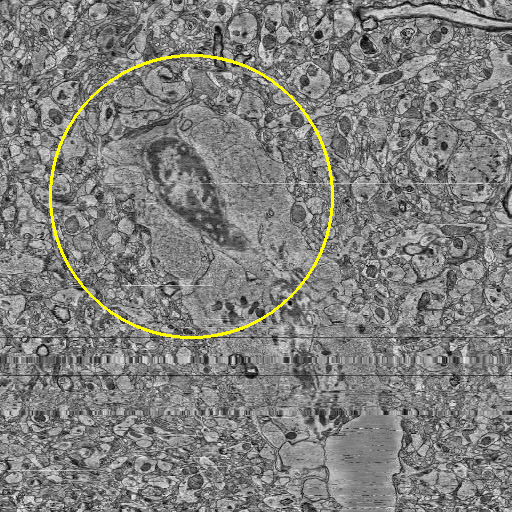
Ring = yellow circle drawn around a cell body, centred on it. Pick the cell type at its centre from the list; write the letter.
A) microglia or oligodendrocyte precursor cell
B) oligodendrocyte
A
